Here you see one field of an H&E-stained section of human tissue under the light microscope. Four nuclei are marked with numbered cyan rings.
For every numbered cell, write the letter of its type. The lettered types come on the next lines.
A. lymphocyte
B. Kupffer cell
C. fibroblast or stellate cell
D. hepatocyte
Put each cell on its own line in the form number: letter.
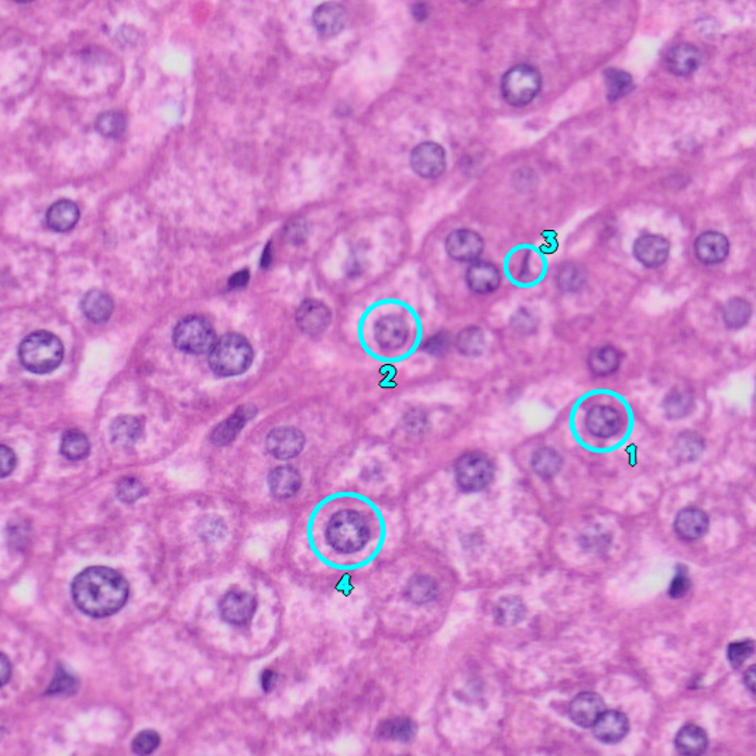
1: D
2: D
3: C
4: D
